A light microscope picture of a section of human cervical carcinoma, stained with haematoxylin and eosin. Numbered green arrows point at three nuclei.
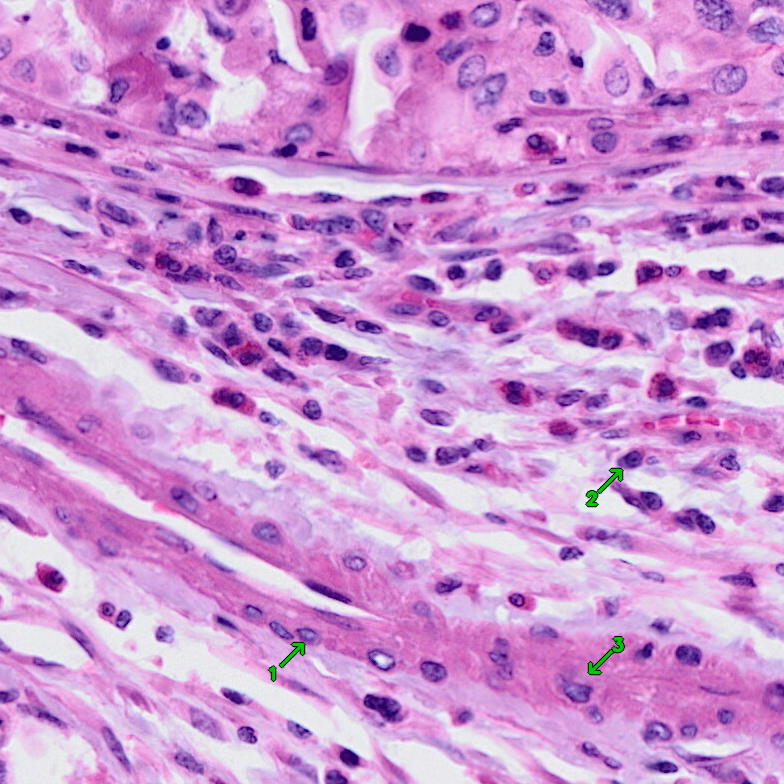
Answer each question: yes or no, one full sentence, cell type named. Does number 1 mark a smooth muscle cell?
Yes, the cell with number 1 is a smooth muscle cell.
